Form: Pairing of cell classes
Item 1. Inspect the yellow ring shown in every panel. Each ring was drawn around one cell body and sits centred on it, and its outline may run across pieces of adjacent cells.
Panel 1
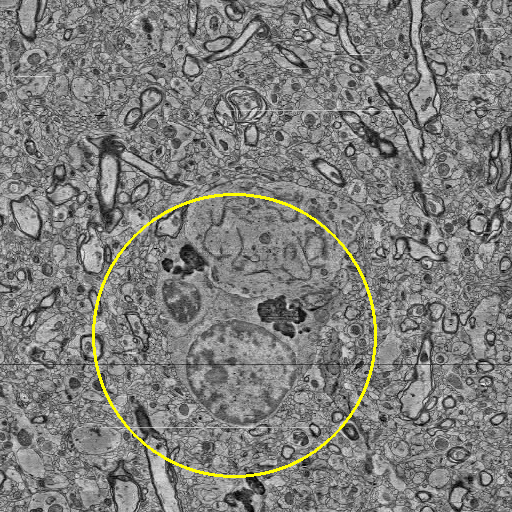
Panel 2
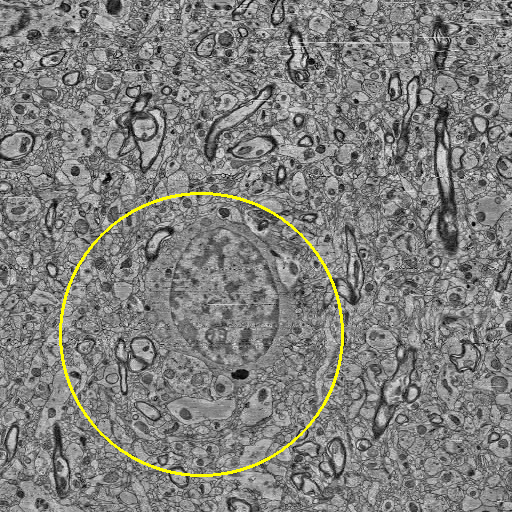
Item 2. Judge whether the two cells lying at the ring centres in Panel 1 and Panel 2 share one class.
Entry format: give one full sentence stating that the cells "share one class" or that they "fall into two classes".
The cells at the ring centres in Panel 1 and Panel 2 share one class.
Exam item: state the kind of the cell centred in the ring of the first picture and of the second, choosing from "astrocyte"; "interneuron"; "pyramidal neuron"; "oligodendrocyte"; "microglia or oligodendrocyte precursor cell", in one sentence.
In the first picture and in the second, the ring is centred on an oligodendrocyte.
